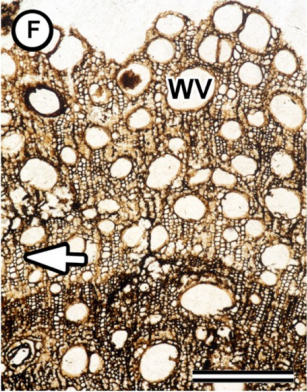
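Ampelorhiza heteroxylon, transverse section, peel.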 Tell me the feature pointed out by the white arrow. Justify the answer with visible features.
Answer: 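Small round cell lumina lie in radial chains near the arrow. These lumina are much narrower than the large solitary pores. The answer: narrow vessels in long radial multiples.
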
